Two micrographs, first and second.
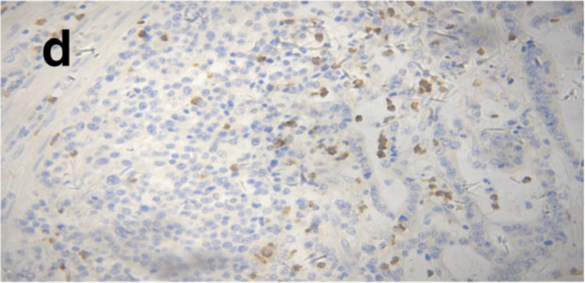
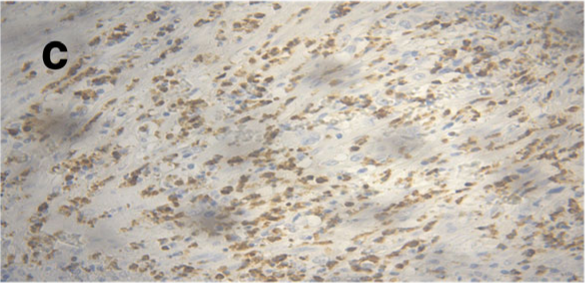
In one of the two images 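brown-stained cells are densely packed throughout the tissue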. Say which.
The second image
